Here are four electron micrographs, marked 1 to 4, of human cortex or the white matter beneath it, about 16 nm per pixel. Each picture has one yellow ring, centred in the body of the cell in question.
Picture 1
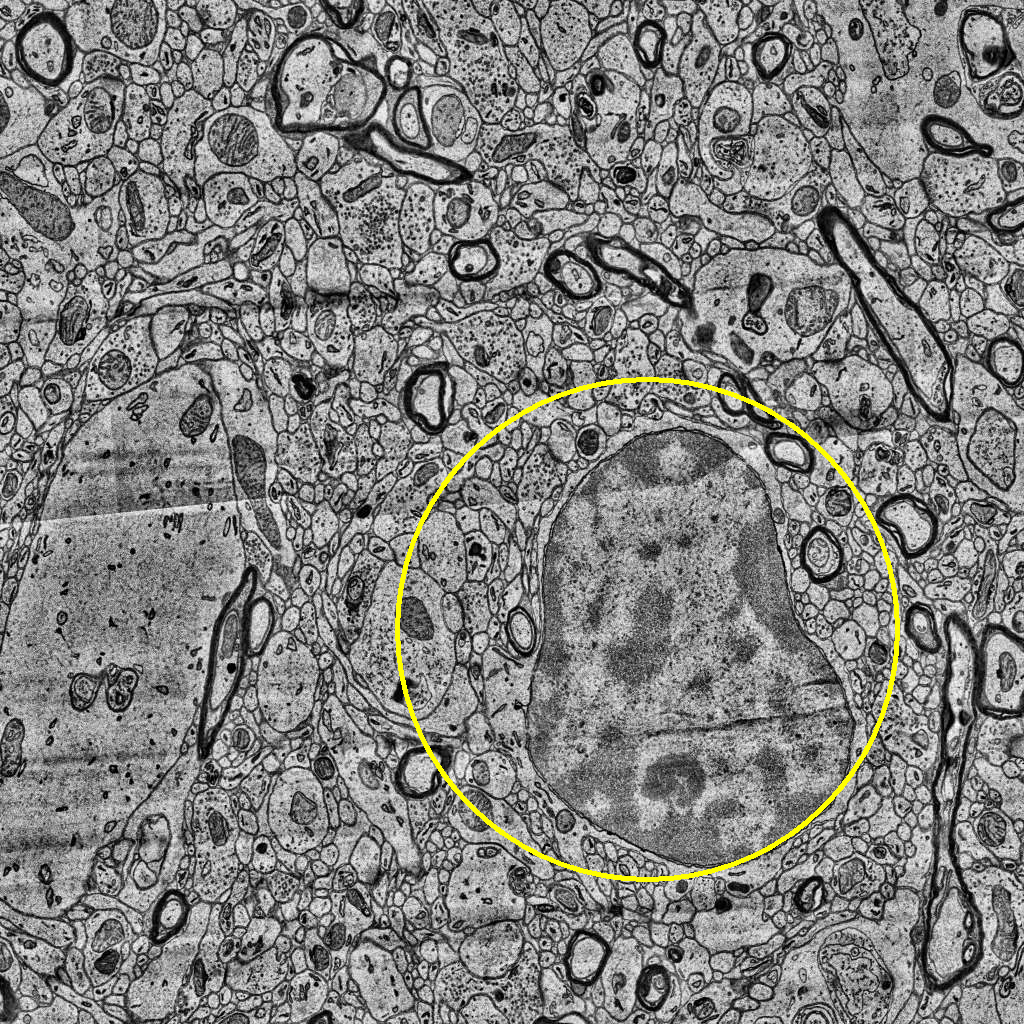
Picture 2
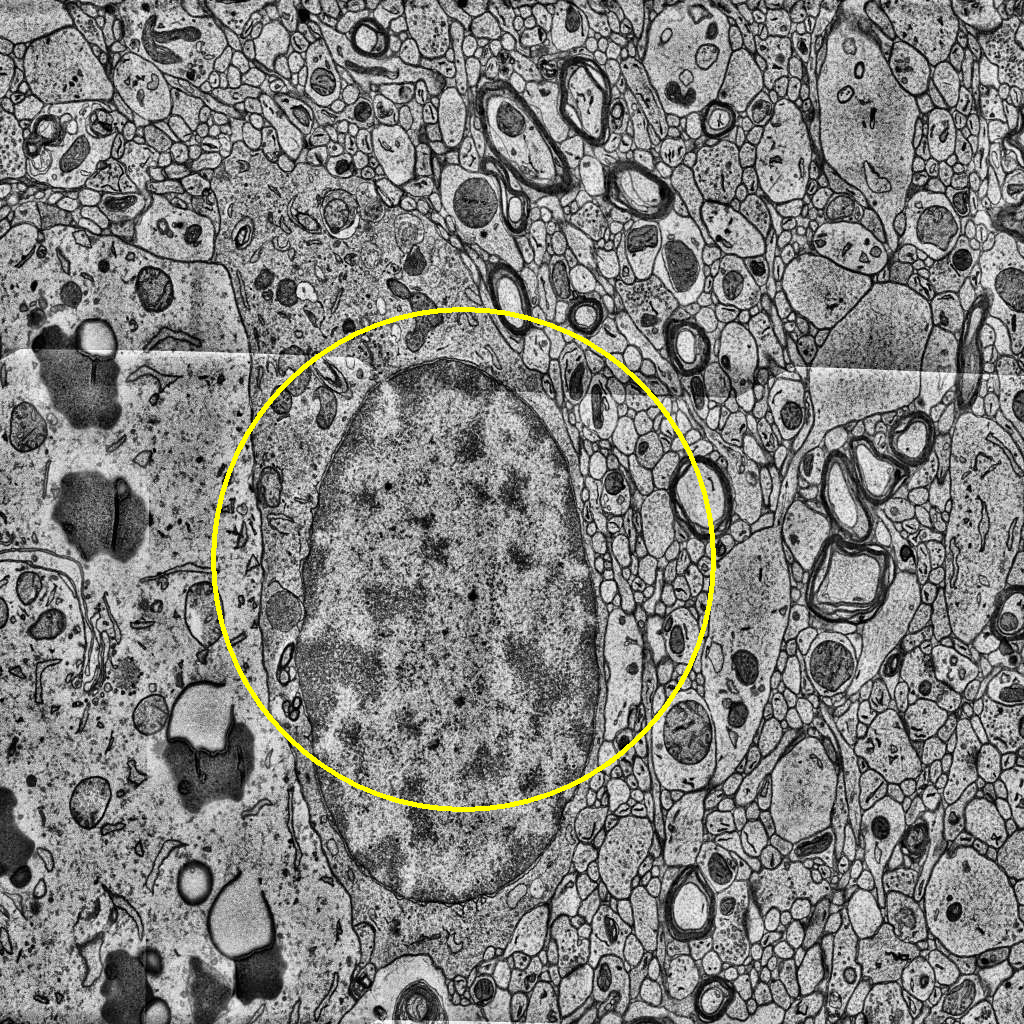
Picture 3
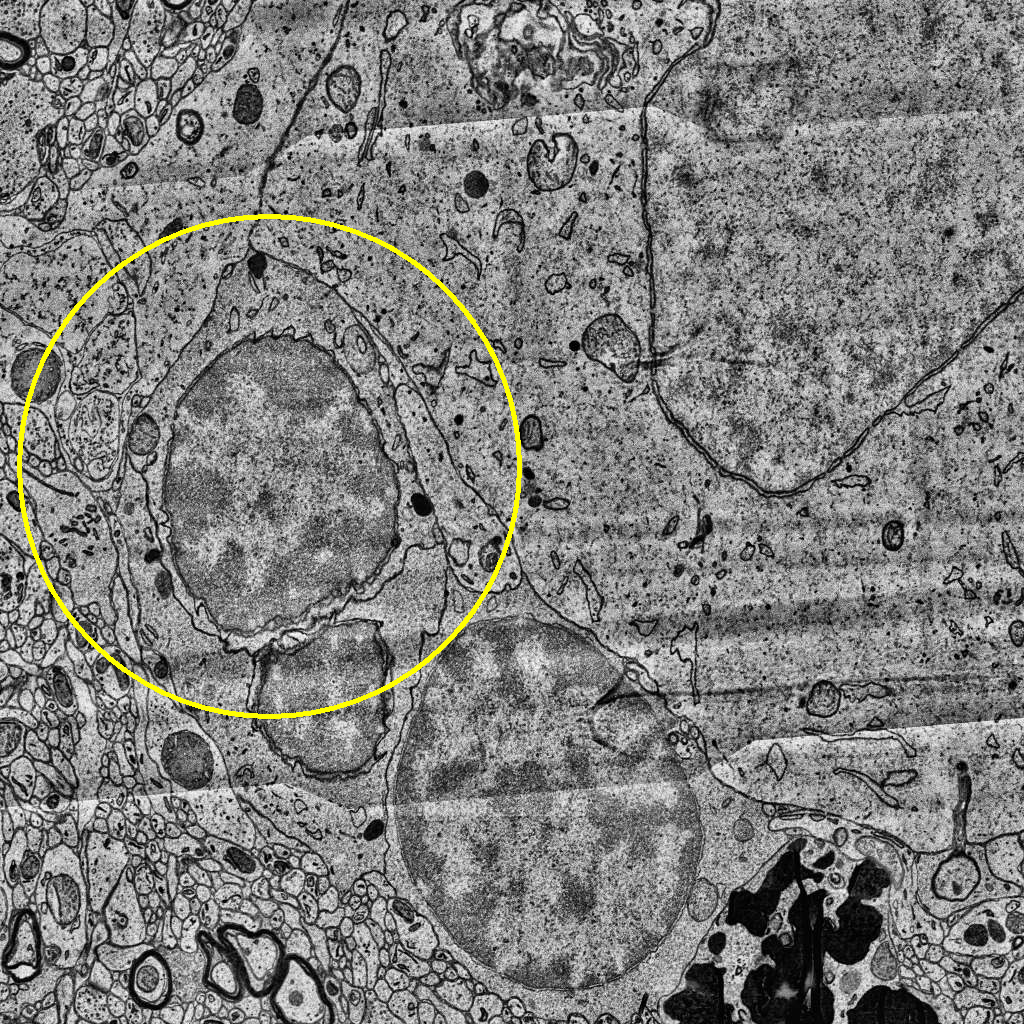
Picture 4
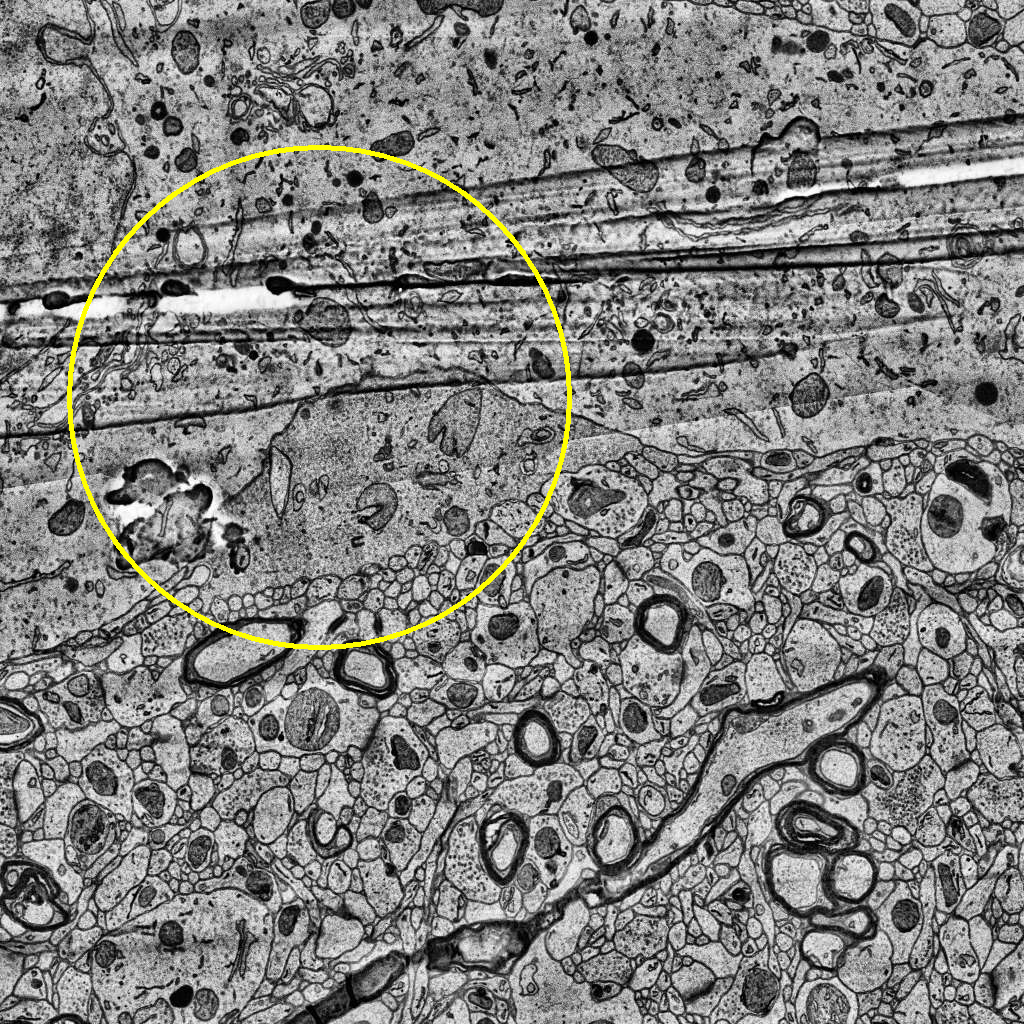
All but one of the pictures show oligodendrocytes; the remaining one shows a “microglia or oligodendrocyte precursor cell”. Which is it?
The cell in picture 1 is the “microglia or oligodendrocyte precursor cell”.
